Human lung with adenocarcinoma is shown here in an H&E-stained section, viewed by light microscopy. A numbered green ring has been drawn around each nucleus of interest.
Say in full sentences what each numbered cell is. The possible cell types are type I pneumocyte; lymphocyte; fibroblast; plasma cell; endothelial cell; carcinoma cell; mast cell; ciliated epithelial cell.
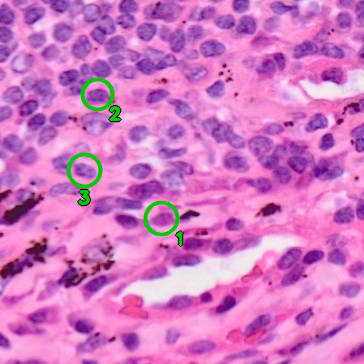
Cell 1 is a plasma cell, cell 2 is a lymphocyte and cell 3 is a lymphocyte.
